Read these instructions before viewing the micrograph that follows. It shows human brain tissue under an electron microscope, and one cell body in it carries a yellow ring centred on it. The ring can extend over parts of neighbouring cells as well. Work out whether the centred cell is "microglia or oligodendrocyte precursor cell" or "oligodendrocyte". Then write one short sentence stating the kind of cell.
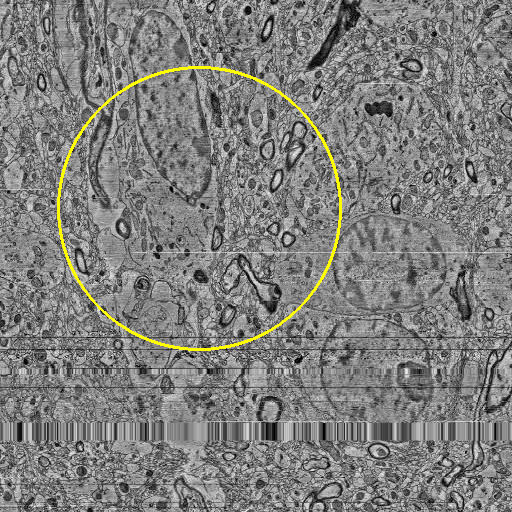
The ringed cell is a microglial cell or oligodendrocyte precursor cell.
